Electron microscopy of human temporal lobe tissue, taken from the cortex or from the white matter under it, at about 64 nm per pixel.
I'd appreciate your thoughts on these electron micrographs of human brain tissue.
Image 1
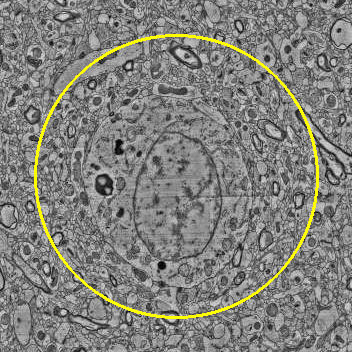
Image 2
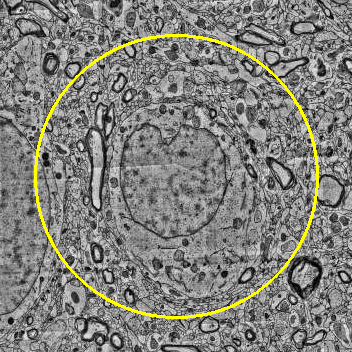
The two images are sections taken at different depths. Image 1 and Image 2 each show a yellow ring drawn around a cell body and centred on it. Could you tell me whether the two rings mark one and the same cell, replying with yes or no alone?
no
